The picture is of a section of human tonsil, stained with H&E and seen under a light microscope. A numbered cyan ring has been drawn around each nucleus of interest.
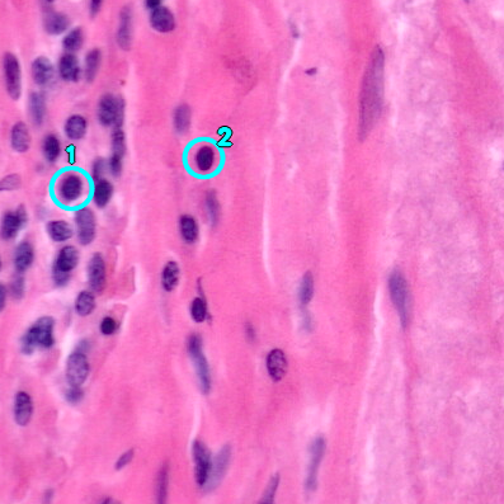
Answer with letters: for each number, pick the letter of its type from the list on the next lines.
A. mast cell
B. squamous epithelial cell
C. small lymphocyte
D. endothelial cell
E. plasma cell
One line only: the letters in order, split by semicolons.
E; A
